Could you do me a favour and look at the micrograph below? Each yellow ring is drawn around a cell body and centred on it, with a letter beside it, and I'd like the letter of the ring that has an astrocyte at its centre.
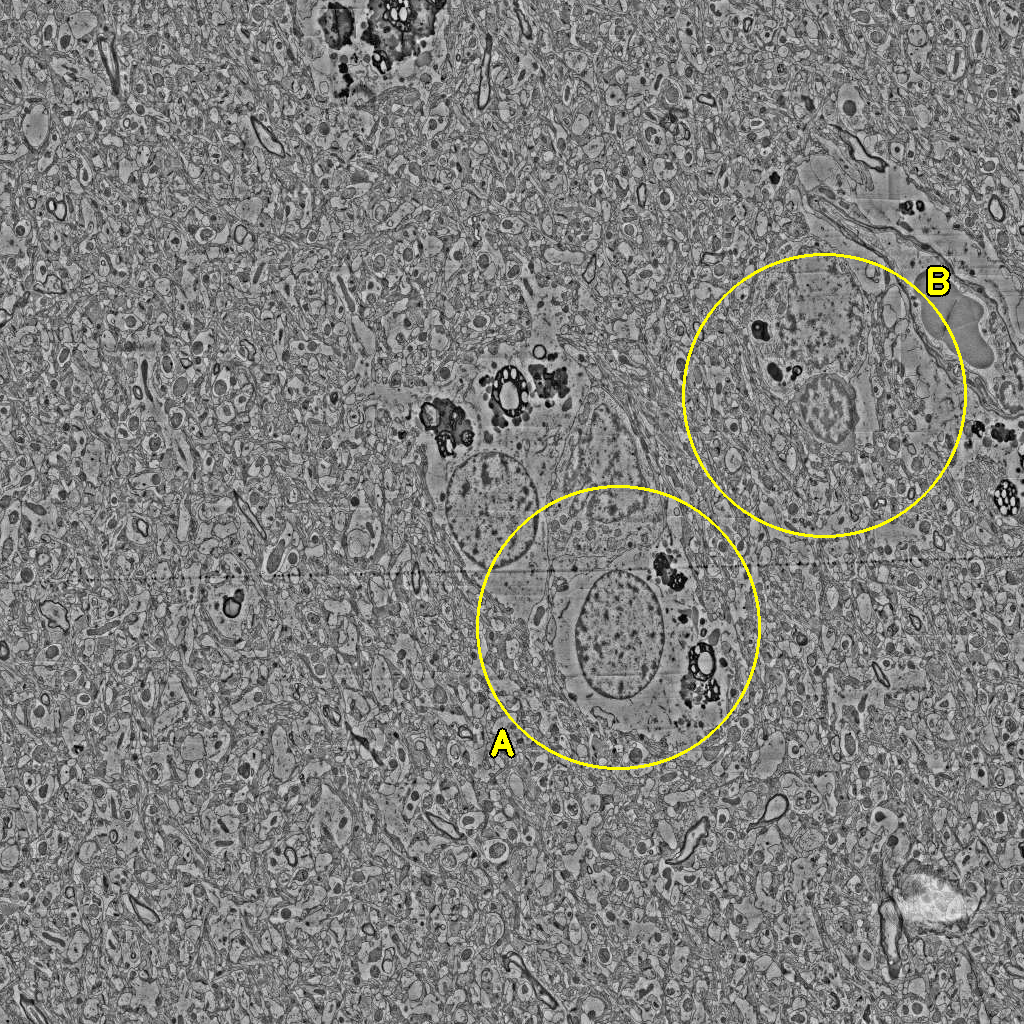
A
